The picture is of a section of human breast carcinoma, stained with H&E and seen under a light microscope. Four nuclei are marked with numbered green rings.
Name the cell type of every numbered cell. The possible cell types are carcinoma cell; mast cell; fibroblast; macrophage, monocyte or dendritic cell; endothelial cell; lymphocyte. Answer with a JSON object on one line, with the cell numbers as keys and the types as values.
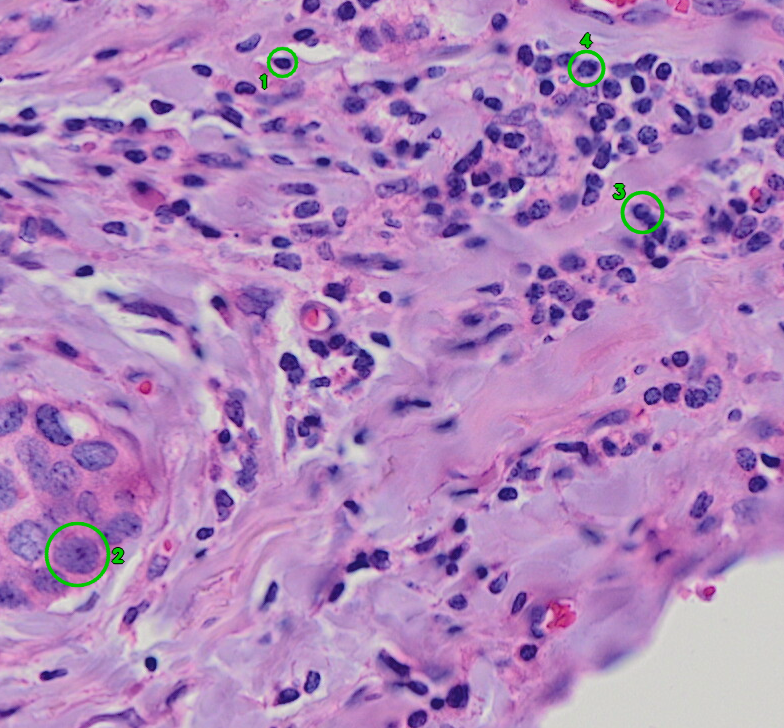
{"1": "lymphocyte", "2": "carcinoma cell", "3": "lymphocyte", "4": "lymphocyte"}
